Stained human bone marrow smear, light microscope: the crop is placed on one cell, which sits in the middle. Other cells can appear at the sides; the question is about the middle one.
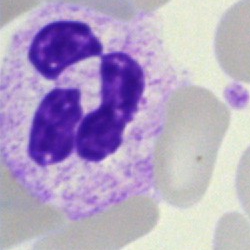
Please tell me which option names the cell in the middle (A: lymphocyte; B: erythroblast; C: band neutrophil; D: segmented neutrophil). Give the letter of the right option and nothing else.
D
